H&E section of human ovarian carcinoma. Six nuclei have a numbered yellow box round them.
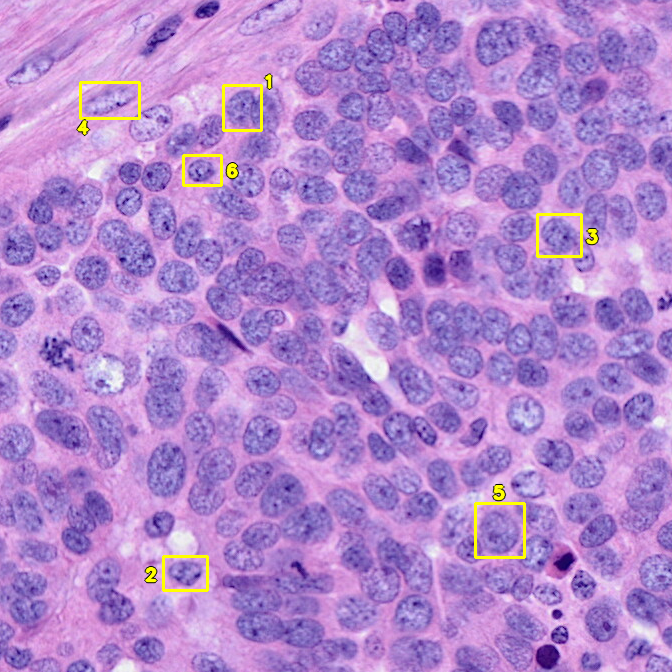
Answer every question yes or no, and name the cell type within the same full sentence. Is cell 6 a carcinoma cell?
No, the cell carrying number 6 is a macrophage or monocyte rather than a carcinoma cell.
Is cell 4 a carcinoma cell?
No, it is a fibroblast that is marked with number 4, not a carcinoma cell.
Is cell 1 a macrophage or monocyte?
No, cell 1 is identified not as a macrophage or monocyte but as a carcinoma cell.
